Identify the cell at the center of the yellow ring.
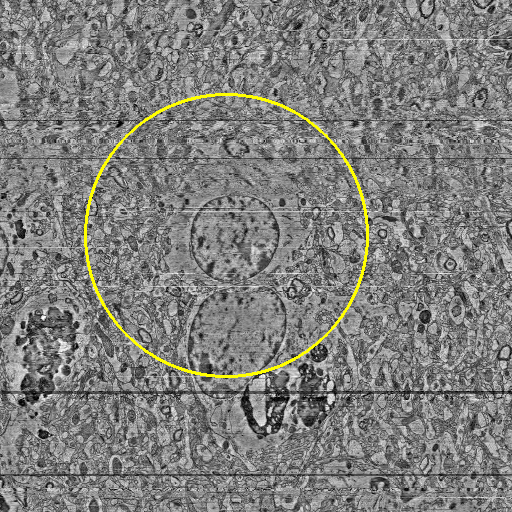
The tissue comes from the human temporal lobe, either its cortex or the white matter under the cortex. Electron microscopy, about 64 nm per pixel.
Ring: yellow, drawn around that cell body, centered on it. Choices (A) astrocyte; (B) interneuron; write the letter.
A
